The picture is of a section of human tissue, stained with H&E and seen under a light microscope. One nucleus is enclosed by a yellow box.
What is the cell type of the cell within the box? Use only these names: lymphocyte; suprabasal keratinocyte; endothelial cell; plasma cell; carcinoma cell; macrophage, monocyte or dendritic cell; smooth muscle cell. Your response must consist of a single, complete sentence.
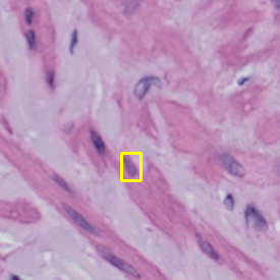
Considered by cell type, the cell within the box is a smooth muscle cell.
